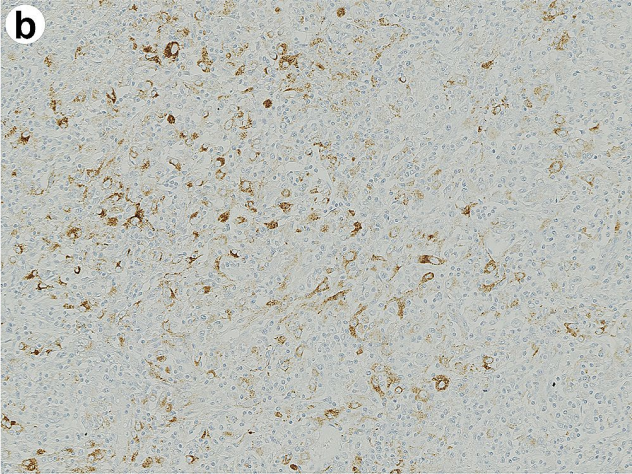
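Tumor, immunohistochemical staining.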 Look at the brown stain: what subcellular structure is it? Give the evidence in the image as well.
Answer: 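Cytoplasm. Brown stain fills the cell bodies of scattered cells in a granular pattern. Nuclei are left pale blue and unstained.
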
